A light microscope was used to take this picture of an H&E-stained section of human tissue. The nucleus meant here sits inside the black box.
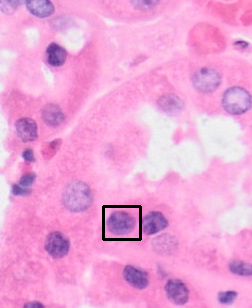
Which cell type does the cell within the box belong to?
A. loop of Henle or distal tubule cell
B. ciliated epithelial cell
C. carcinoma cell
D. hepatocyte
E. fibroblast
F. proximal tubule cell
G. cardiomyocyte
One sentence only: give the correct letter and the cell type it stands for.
The correct option is F, as the cell within the box is a proximal tubule cell.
